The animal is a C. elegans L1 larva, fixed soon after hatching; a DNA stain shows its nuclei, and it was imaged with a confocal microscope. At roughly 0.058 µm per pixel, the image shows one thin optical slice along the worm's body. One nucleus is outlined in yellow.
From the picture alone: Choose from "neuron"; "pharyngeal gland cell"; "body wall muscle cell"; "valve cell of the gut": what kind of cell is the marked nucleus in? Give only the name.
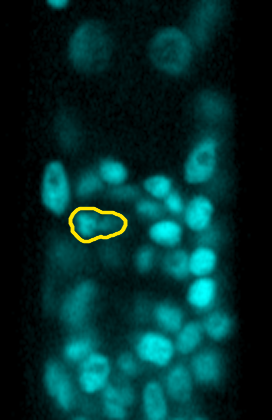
pharyngeal gland cell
